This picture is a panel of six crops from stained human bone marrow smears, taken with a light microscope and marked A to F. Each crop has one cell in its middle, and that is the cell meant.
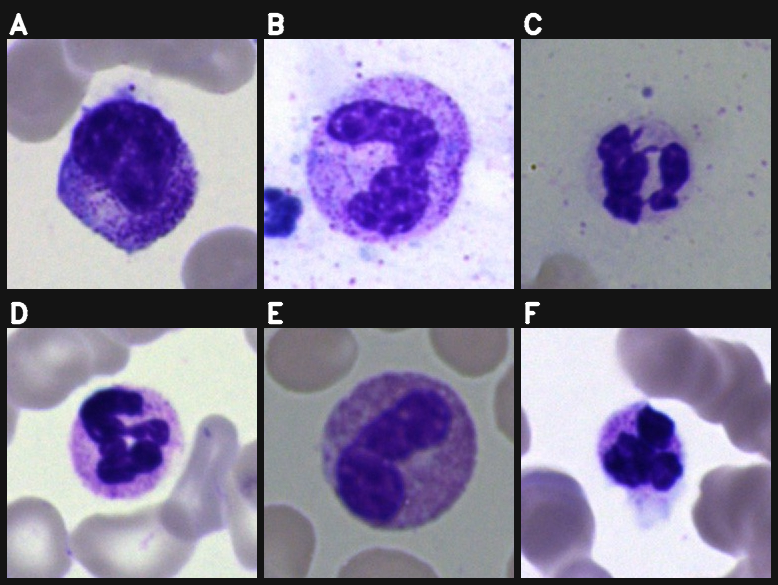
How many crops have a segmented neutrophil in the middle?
3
